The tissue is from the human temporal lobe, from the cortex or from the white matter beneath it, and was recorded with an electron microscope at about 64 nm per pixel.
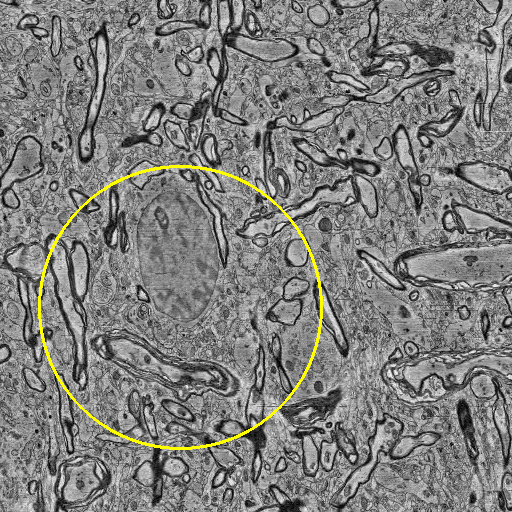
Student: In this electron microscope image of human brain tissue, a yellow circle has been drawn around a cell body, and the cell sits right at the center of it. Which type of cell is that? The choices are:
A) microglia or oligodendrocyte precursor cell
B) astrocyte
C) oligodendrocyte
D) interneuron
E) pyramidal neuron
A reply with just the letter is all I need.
C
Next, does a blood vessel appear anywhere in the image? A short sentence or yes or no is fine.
No, no vessel shows anywhere in the image.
